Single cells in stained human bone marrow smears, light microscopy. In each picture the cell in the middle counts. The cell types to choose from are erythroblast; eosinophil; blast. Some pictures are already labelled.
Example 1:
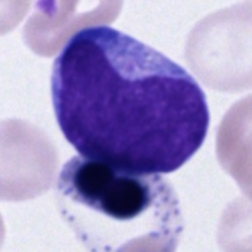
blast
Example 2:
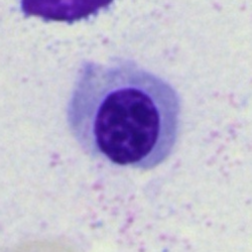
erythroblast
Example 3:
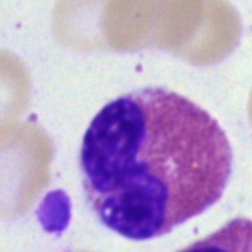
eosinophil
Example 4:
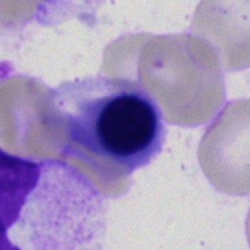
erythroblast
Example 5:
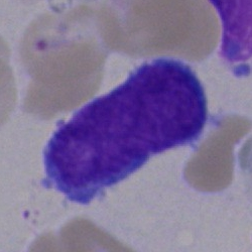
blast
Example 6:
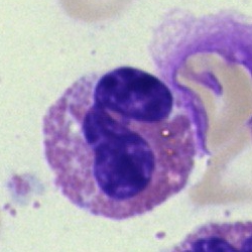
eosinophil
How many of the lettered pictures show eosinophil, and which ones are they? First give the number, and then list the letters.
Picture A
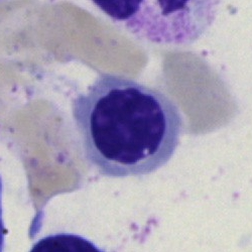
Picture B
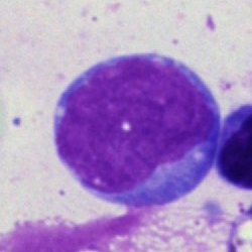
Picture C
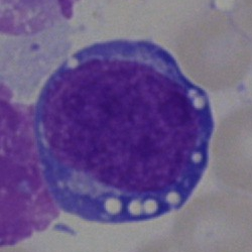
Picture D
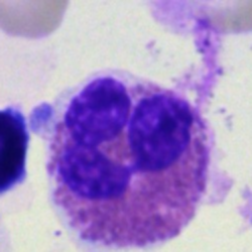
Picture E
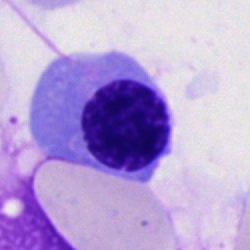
1, namely D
